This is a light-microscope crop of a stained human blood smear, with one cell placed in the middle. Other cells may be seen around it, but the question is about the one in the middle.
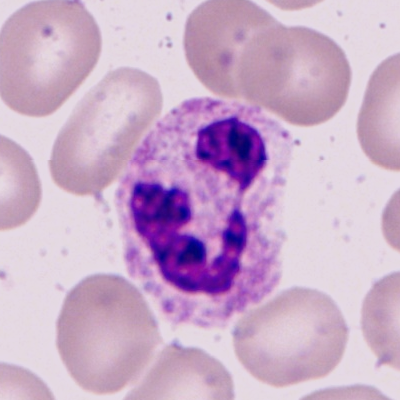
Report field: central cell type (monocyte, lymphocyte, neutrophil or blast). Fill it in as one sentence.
The cell around which this crop is centred is a neutrophil.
